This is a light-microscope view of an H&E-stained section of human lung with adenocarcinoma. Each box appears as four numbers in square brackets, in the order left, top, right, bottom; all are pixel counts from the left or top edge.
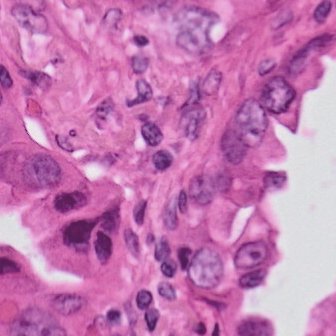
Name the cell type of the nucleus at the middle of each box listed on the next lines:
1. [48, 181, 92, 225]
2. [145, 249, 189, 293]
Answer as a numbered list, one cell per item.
1. carcinoma cell
2. lymphocyte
